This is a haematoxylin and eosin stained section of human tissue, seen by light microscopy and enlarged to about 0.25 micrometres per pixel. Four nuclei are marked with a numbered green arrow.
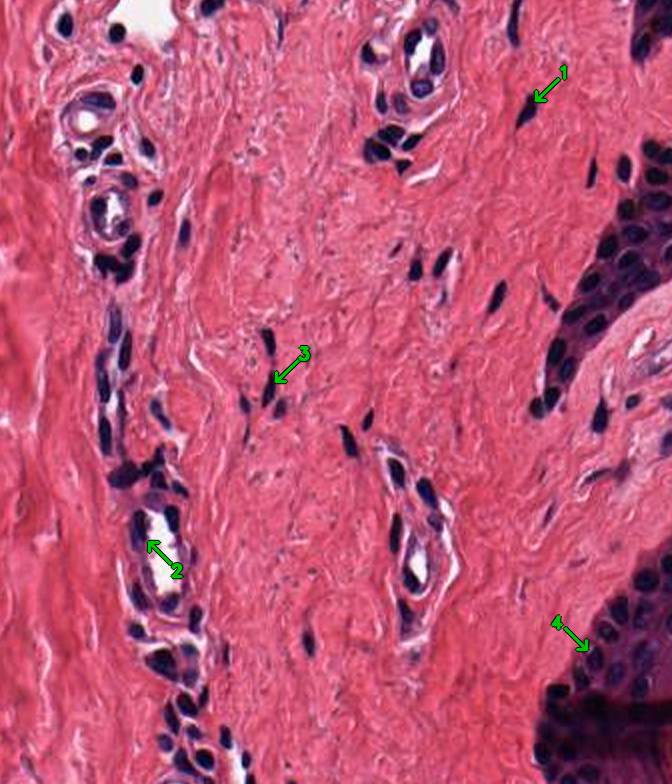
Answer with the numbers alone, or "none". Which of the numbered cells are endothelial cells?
2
